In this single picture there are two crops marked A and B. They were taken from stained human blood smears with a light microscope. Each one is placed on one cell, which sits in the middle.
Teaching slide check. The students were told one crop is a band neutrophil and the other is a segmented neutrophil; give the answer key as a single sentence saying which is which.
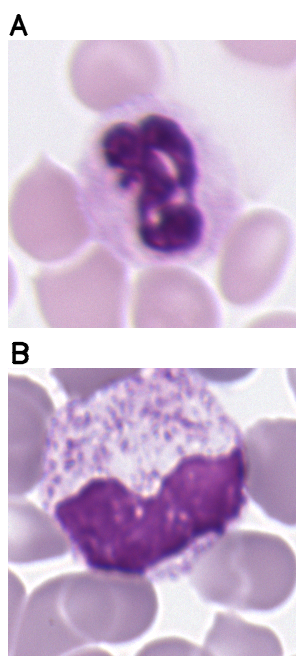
Well, crop A is a segmented neutrophil, and crop B is a band neutrophil.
